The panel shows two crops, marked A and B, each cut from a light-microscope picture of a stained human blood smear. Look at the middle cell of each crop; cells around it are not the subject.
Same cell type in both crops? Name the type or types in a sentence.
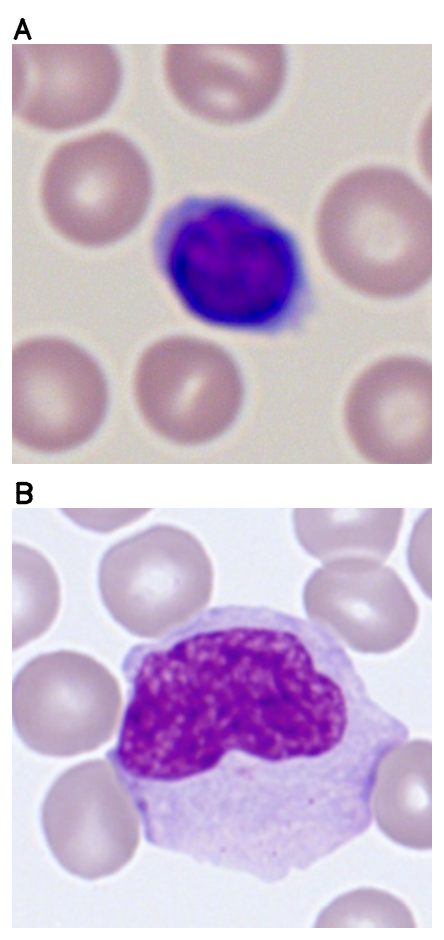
No, crop A gives us a lymphocyte and crop B gives us a monocyte.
